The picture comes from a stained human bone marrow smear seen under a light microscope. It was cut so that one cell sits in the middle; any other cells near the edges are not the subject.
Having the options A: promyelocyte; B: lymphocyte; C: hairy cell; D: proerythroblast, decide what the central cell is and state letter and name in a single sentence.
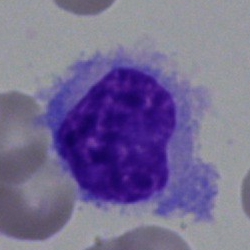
At the centre of the crop lies a hairy cell, which makes option C correct.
